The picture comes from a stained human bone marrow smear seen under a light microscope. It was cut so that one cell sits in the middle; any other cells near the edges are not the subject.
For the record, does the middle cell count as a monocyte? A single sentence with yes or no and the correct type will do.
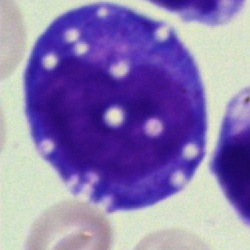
No, the centre of the crop contains a blast rather than a monocyte.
